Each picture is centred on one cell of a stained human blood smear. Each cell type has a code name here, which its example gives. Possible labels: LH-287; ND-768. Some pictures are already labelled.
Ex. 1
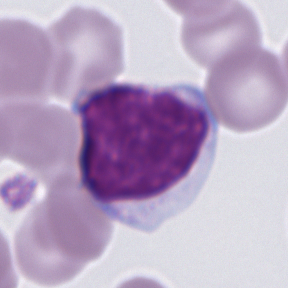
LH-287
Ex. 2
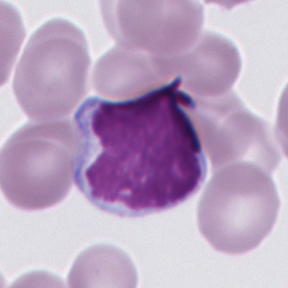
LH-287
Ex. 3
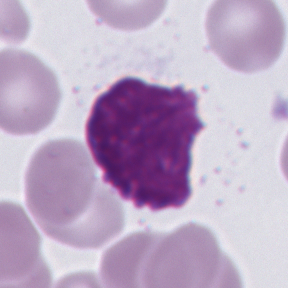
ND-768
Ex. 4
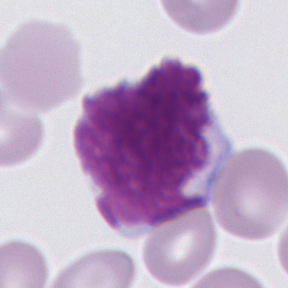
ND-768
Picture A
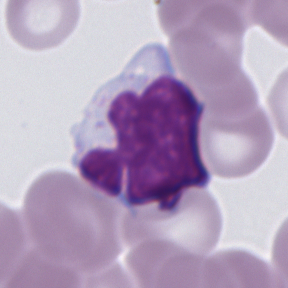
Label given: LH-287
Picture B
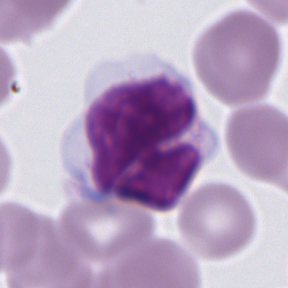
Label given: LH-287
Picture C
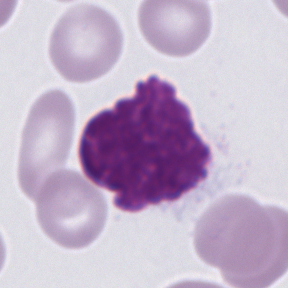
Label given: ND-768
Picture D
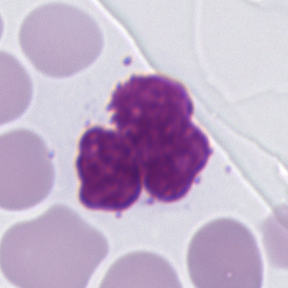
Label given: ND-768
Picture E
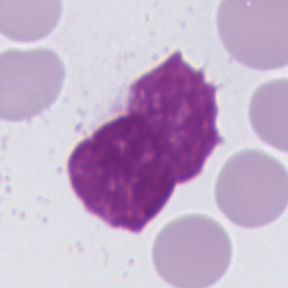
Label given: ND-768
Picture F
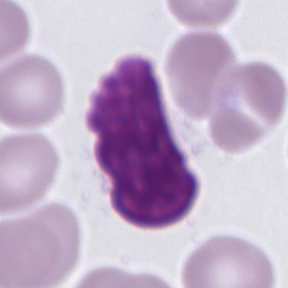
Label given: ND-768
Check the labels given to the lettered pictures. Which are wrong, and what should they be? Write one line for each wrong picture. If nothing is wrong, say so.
None of the labels needs changing.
